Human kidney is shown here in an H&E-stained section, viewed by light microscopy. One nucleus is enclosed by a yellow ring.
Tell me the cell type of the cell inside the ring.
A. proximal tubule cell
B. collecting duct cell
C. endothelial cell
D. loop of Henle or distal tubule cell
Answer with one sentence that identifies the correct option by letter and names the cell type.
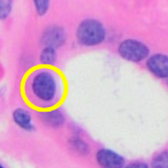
Exactly as option B gives it, the cell inside the ring is a collecting duct cell.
